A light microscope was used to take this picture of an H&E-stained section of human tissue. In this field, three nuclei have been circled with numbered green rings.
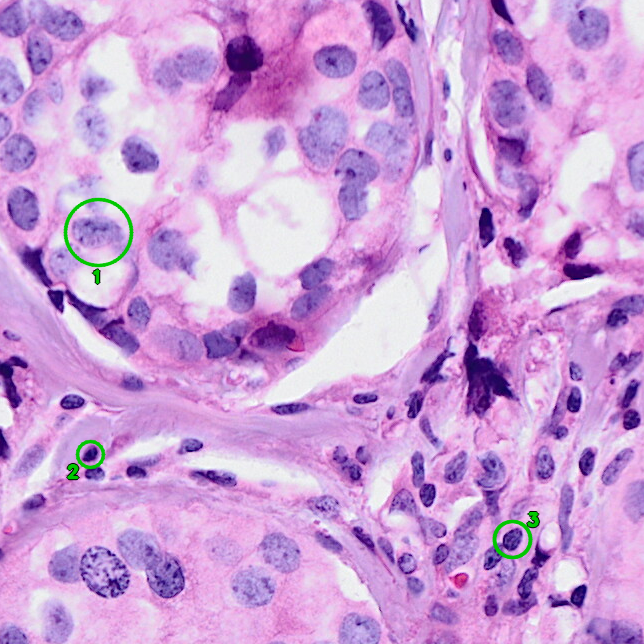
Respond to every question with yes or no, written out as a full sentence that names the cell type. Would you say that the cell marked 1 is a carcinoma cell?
Yes, what number 1 marks is a carcinoma cell.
